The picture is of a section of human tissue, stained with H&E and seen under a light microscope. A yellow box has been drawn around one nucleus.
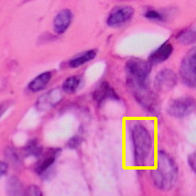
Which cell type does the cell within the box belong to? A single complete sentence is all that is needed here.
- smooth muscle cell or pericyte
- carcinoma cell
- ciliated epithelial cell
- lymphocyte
For the purposes of cell typing, the cell within the box is categorized as a ciliated epithelial cell.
